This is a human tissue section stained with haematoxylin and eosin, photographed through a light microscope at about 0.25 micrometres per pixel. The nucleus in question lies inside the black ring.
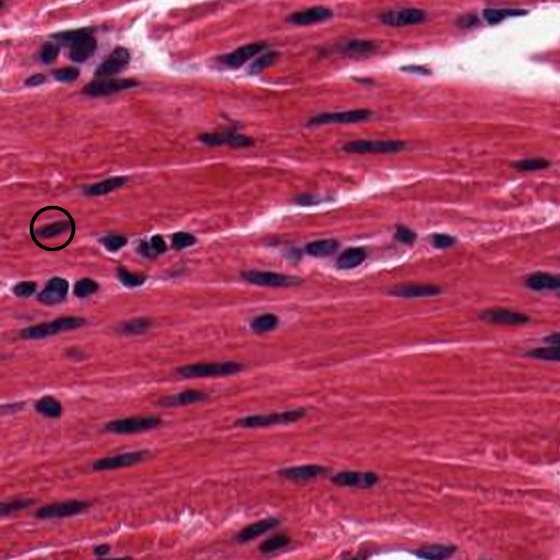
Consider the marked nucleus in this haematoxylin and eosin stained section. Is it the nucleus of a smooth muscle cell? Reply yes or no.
yes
